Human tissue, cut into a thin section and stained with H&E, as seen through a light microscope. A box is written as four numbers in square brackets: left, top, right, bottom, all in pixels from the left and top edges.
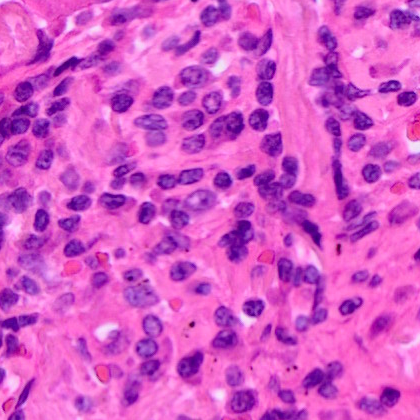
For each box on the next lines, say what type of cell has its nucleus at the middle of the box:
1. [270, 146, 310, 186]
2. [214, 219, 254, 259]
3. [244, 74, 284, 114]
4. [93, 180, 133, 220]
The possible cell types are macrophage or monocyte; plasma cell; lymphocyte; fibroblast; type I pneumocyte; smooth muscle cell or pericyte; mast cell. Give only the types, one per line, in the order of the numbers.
lymphocyte
lymphocyte
lymphocyte
plasma cell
